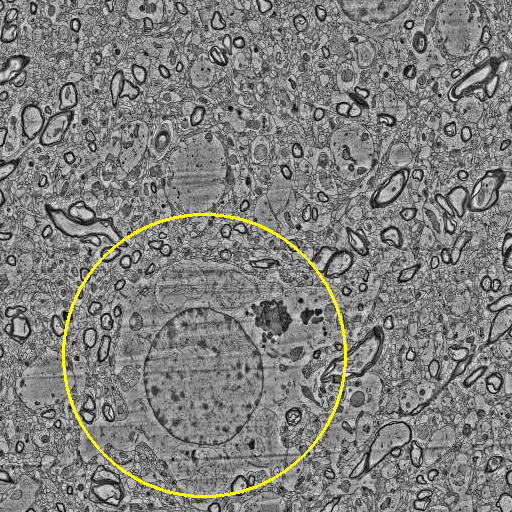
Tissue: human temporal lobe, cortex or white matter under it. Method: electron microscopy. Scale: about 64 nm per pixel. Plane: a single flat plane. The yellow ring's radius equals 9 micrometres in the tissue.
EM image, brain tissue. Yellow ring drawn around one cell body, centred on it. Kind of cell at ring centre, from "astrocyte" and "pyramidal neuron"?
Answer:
astrocyte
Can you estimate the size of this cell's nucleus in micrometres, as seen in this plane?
In this plane the nucleus measures roughly 9 by 8 micrometers.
